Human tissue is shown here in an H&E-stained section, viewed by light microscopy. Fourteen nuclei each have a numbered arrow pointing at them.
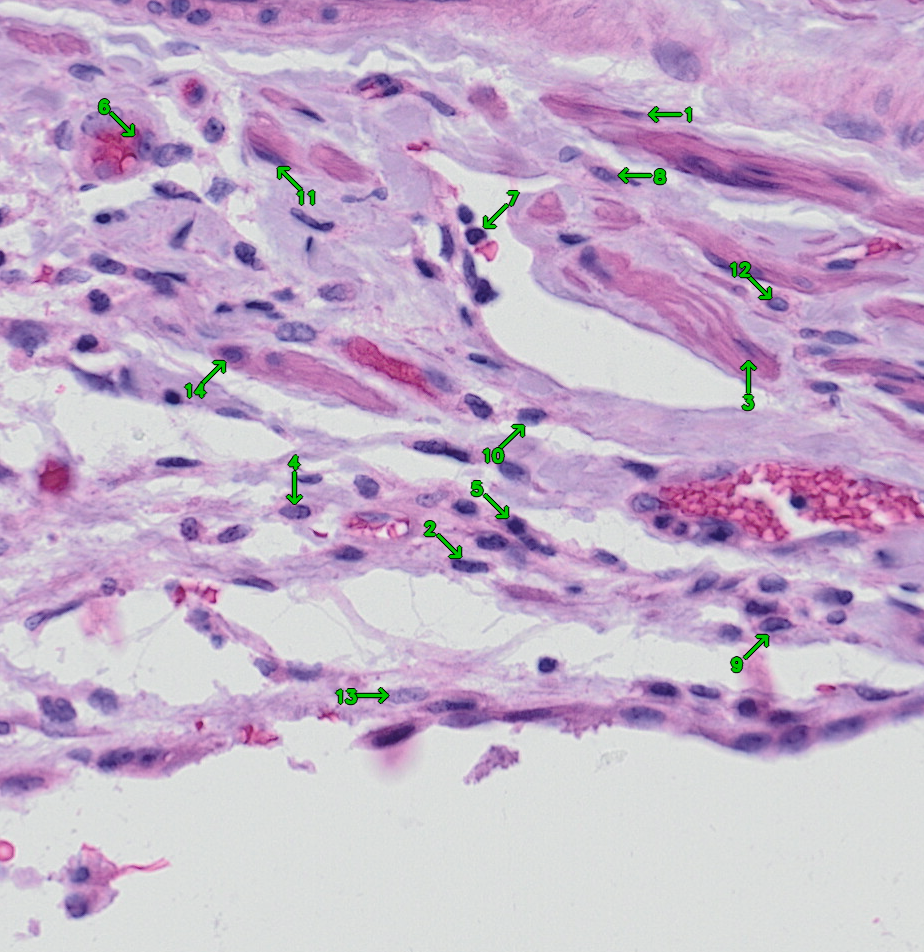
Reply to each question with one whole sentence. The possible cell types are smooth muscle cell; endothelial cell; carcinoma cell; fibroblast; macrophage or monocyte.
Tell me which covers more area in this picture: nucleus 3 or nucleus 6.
Of the two, number 6 is bigger and takes up about 1.5 times the area of number 3.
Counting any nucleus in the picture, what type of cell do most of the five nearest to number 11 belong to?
Of the five nuclei nearest to number 11, most belong to macrophages or monocytes.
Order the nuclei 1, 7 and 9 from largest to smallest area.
The nuclei rank 9, 7, 1, from largest to smallest.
